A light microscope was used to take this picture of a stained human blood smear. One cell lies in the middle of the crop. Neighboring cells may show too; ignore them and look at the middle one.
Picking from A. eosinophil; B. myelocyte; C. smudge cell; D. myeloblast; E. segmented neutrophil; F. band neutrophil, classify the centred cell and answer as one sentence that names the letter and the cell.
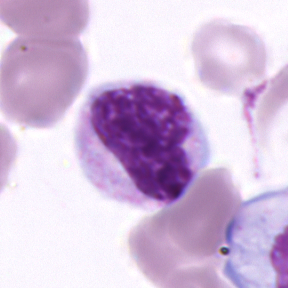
The centrally positioned cell is a band neutrophil, consistent with option F, which is correct.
